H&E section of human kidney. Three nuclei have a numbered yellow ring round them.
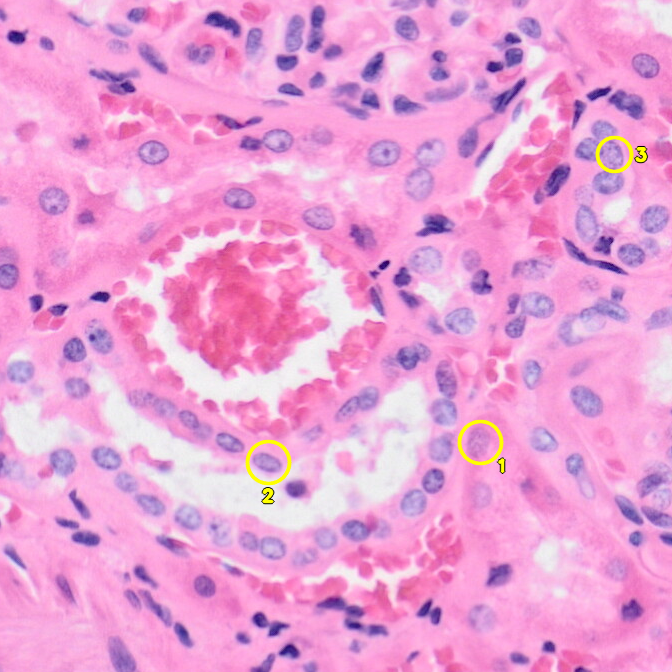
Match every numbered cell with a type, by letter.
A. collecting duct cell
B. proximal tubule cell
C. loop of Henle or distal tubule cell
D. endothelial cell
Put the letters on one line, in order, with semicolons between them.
B; A; A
